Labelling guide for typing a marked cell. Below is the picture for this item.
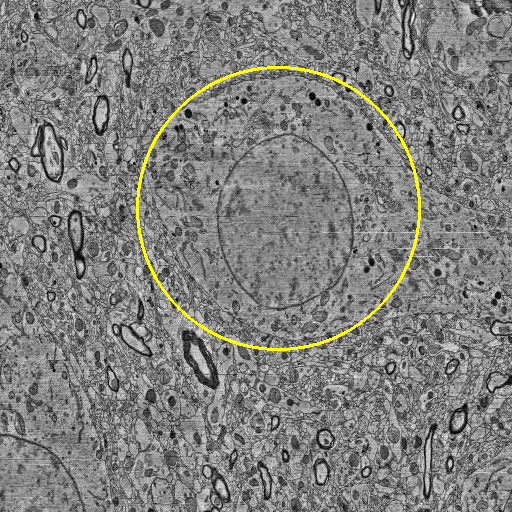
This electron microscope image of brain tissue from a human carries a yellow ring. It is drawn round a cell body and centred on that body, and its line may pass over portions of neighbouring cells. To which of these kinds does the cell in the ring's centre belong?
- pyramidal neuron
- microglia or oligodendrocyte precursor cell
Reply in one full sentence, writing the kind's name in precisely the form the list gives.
Here we have a pyramidal neuron at the centre of the yellow ring in the picture.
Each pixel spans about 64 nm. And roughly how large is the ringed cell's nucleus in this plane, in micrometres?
About 12 by 9 micrometers, in this plane.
